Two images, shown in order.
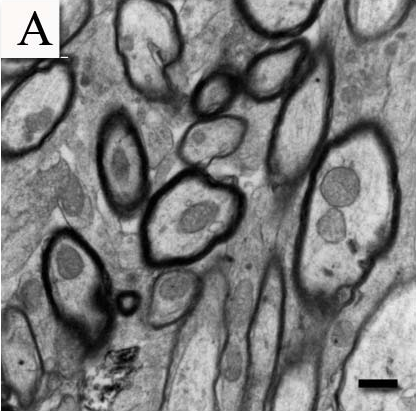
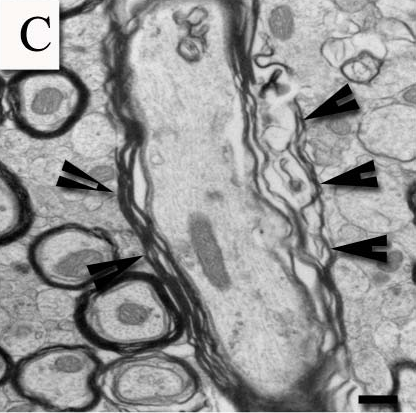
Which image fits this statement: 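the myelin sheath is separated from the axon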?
the second image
